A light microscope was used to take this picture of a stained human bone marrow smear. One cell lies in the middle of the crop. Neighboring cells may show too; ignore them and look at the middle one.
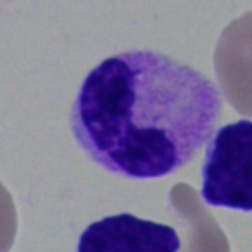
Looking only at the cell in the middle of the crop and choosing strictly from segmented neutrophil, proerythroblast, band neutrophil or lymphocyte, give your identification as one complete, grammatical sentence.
In the center of this field lies a band neutrophil.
